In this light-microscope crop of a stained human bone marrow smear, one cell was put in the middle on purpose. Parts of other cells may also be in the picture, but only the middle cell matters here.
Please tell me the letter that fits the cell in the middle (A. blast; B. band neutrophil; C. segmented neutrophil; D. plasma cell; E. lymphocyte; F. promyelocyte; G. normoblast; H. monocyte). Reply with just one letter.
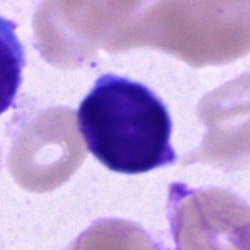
E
